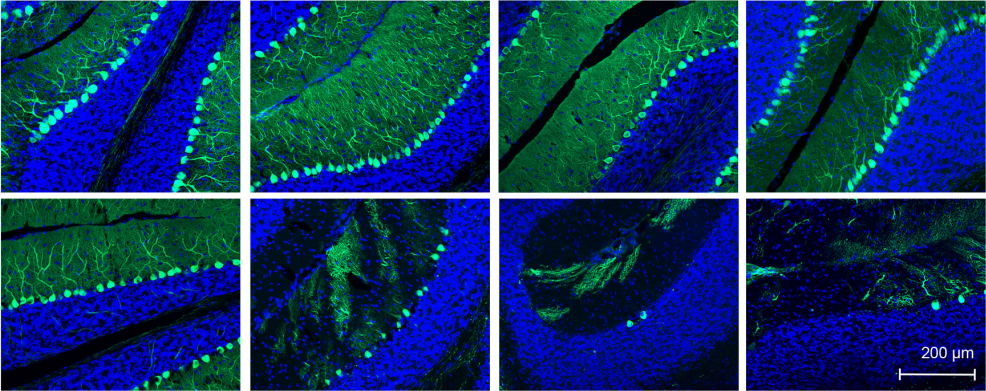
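These are cerebellar cortex sections in which Purkinje cells show green, against a blue background of densely packed nuclei in the granular layer. In the upper row, green cell bodies form continuous single rows at the edge of the granular layer. Fine green dendritic trees spread from them into the broad molecular layer. In the lower row, the first image still shows such a row, but the later images show only isolated green cell bodies or patches of green fibres, with the row of cell bodies largely gone.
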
